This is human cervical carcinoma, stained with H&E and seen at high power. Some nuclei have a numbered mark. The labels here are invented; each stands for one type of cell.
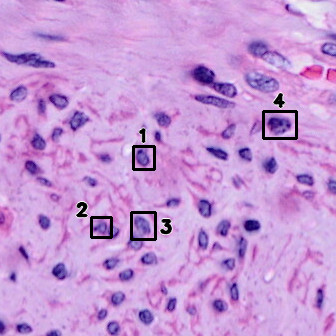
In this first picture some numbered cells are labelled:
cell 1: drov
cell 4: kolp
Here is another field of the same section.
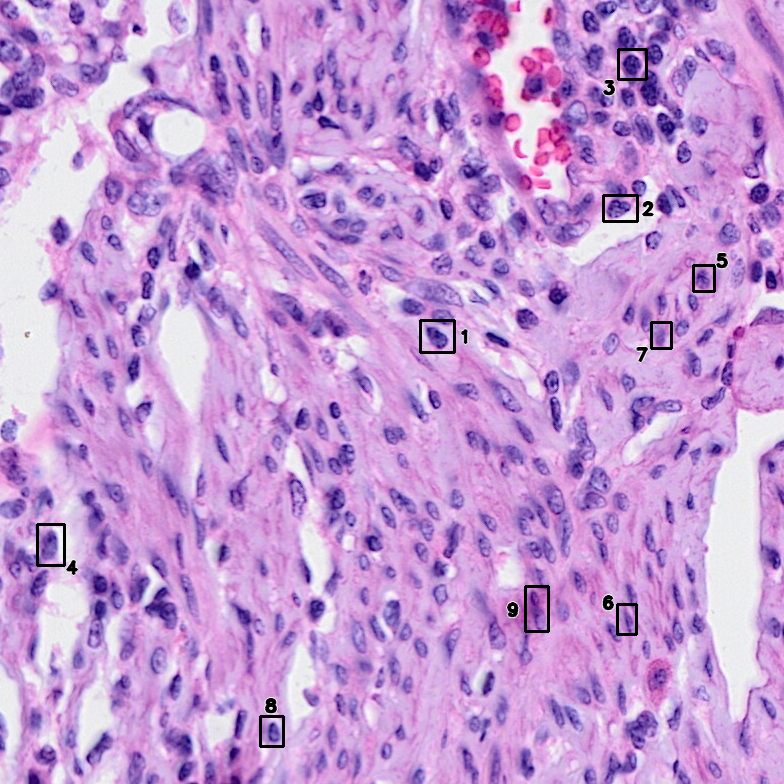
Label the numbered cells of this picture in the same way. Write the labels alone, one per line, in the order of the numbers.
kolp
kolp
kolp
kolp
drov
drov
drov
kolp
drov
